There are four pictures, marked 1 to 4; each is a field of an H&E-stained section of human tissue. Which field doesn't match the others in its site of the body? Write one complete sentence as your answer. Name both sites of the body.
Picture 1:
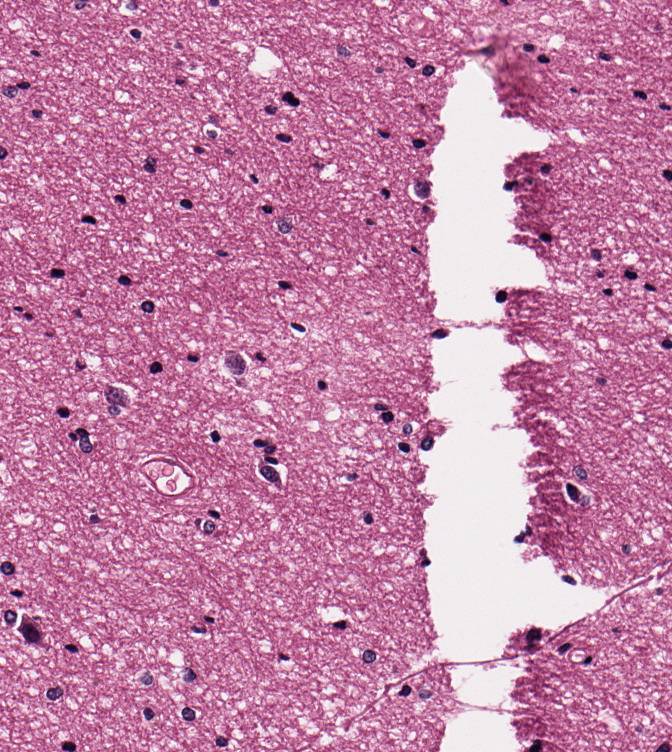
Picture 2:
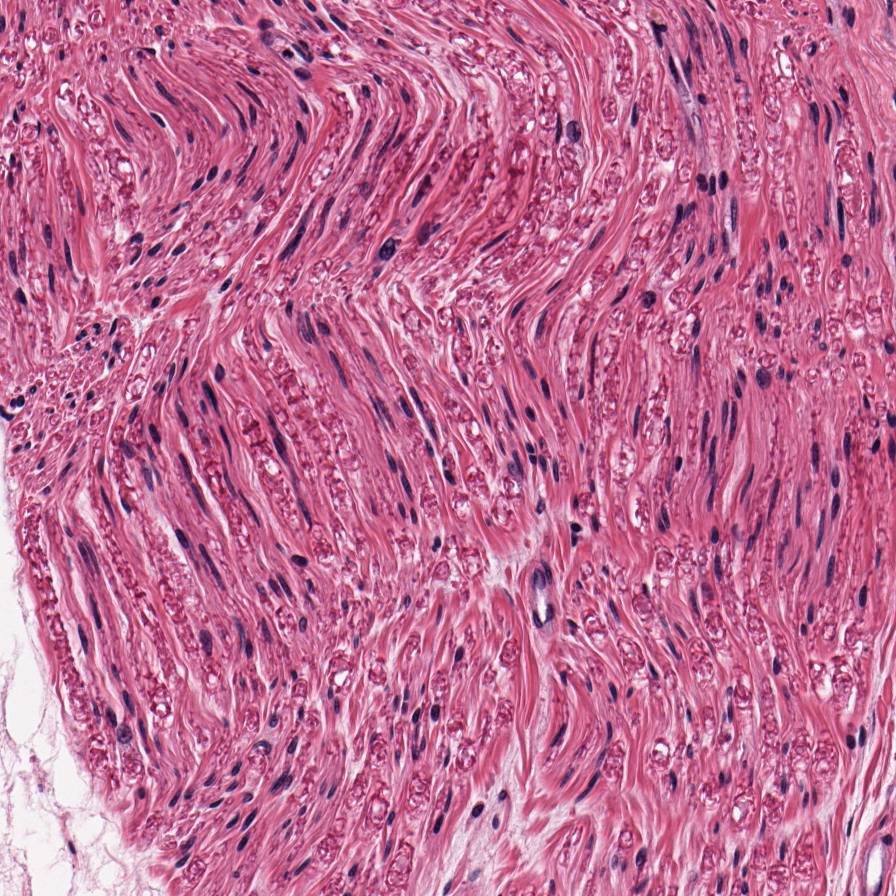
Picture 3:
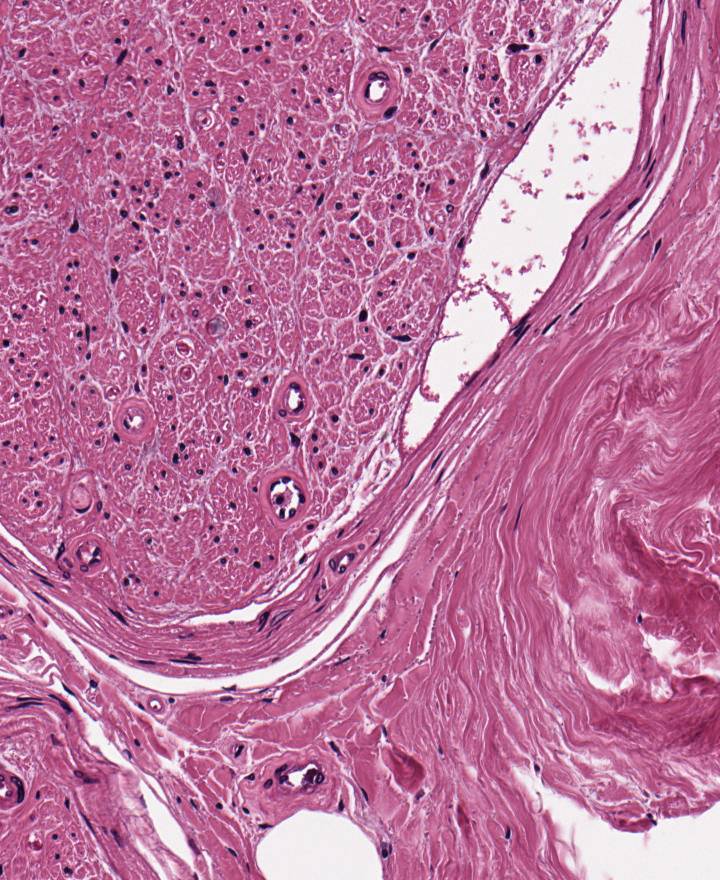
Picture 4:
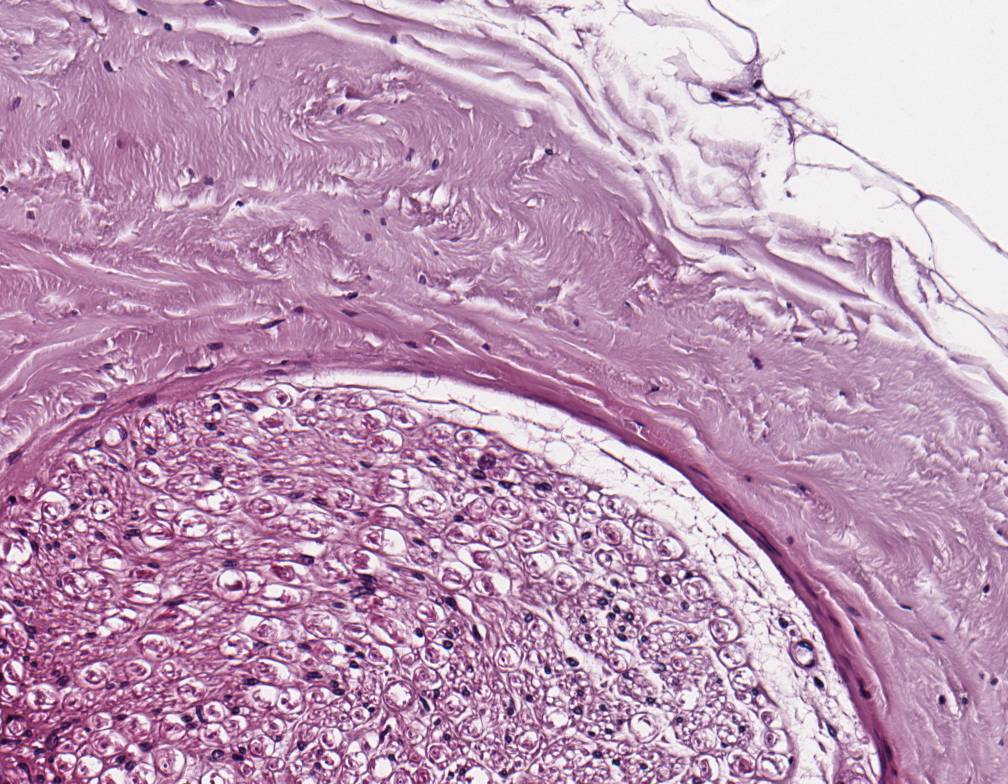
The others come from the tibial nerve, but picture 1 comes from the cerebral cortex.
